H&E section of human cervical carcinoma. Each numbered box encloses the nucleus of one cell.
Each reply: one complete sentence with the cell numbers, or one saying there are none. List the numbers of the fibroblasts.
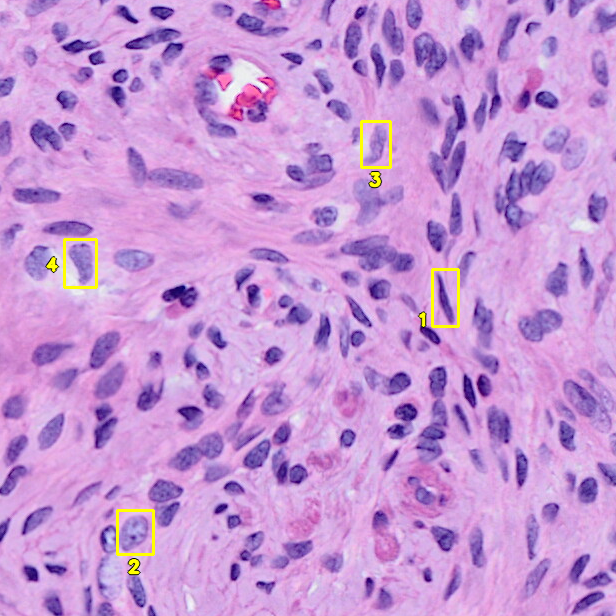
The cells numbered 1, 3 and 4 are of the kind known as fibroblasts.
